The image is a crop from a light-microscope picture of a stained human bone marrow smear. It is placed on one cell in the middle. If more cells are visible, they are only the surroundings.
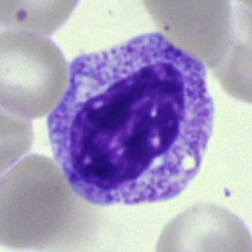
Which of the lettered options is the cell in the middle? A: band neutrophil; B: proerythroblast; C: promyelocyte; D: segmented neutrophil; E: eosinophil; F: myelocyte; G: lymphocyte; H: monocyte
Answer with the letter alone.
F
